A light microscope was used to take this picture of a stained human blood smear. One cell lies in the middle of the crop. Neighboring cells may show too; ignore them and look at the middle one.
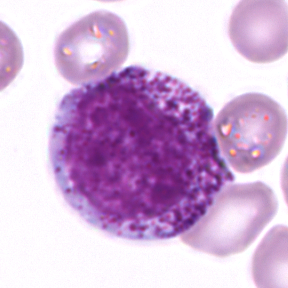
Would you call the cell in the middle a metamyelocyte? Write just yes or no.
no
